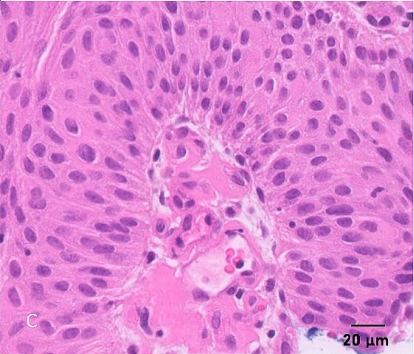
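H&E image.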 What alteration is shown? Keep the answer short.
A: low grade papillary urothelial carcinoma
